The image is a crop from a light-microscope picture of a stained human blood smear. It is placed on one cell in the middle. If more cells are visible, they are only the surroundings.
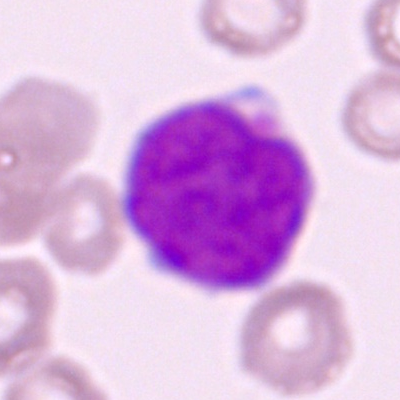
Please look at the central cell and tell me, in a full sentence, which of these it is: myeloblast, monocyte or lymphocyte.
On this slide crop, the central cell is a myeloblast.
